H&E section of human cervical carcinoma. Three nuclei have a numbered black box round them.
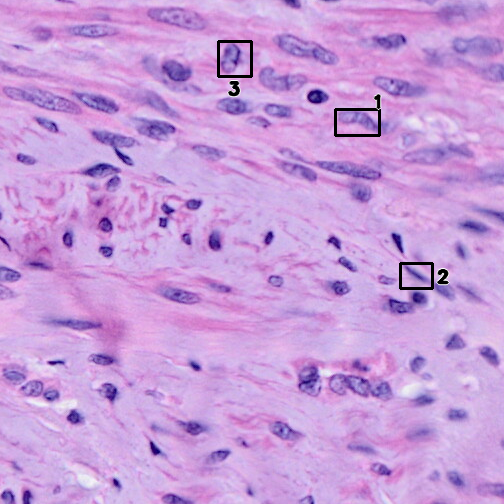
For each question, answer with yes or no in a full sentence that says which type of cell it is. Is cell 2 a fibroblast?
Yes, the marked cell number 2 is a fibroblast.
